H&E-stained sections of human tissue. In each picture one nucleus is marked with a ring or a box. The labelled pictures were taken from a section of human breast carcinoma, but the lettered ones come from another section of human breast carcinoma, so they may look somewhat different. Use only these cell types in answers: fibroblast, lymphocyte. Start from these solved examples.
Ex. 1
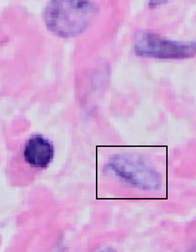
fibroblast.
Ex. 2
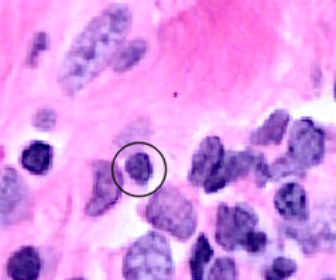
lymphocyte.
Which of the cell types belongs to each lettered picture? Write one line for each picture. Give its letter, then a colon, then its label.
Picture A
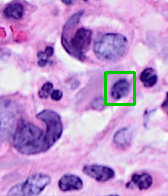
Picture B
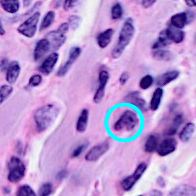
A: lymphocyte.
B: lymphocyte.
